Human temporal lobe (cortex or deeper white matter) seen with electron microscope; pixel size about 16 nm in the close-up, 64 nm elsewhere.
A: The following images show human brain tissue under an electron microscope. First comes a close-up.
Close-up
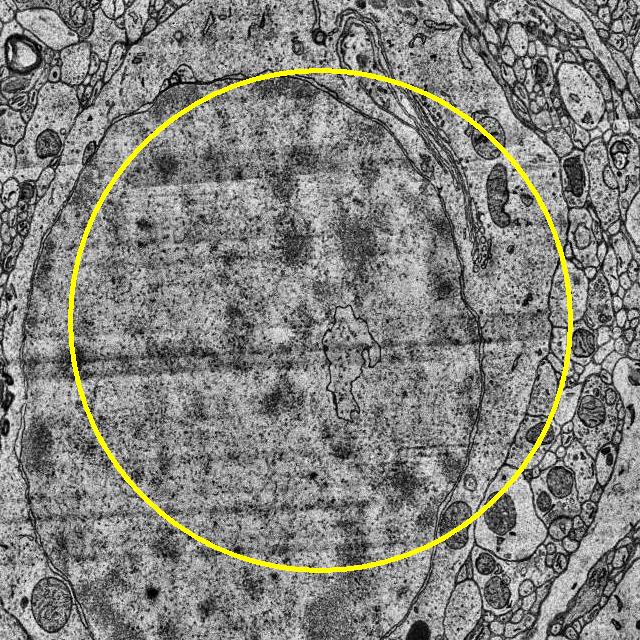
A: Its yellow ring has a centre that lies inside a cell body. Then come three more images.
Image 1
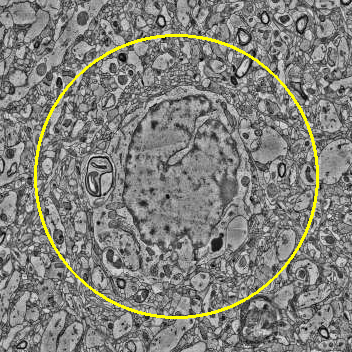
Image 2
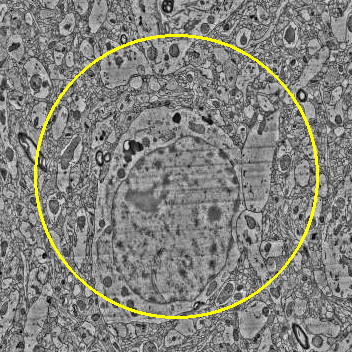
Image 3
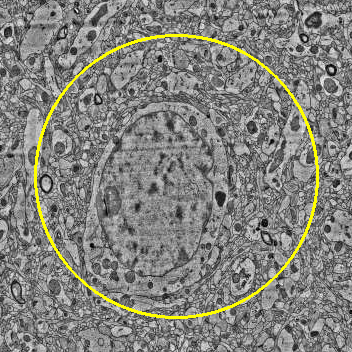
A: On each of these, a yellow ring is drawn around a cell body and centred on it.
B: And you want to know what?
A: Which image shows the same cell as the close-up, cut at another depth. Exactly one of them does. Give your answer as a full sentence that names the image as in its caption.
The close-up represents the cell enclosed by the ring in Image 3.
